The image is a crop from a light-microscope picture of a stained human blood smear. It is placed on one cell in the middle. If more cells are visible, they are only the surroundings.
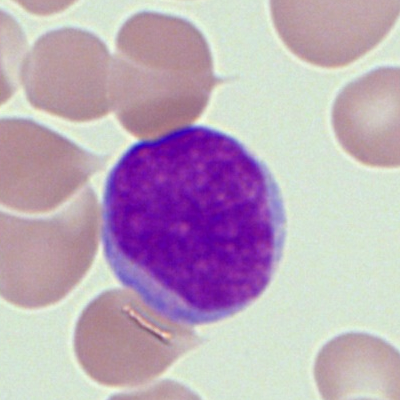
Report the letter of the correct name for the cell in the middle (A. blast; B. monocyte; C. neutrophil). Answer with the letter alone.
A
